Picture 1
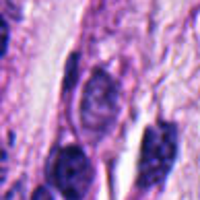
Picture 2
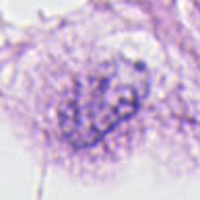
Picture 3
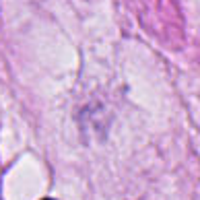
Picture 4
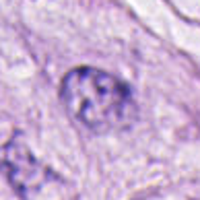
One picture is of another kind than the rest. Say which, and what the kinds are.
Picture 1 shows a cytotrophoblast; the rest show maternal decidual cells.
